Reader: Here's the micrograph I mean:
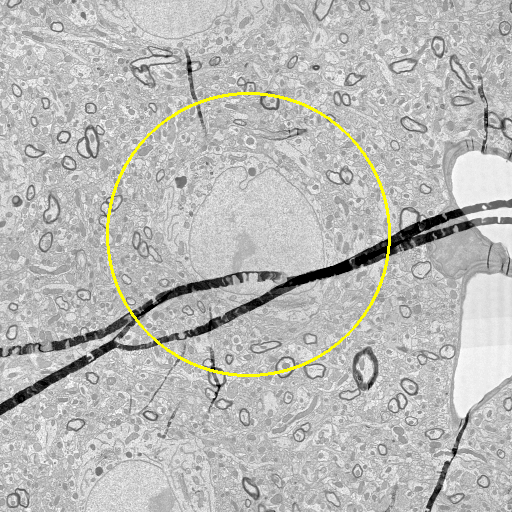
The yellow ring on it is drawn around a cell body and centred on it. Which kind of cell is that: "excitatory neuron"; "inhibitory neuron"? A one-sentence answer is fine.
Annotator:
The ring is centred on an inhibitory neuron.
